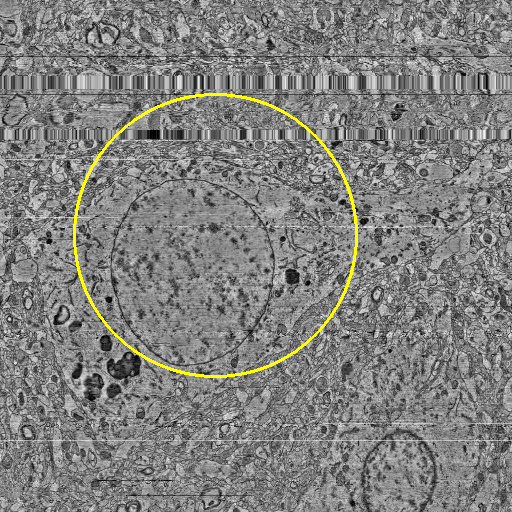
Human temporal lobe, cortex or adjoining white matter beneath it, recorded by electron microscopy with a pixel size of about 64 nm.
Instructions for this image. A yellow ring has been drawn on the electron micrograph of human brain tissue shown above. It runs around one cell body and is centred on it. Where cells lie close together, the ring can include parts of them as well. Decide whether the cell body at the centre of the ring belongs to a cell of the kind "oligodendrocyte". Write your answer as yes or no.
no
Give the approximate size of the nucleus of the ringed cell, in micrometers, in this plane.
In this plane the nucleus measures roughly 13 by 10 micrometres.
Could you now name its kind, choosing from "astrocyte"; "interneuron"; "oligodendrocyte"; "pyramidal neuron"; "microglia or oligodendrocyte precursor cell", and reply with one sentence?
As it turns out, the cell at the ring centre is a pyramidal neuron.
